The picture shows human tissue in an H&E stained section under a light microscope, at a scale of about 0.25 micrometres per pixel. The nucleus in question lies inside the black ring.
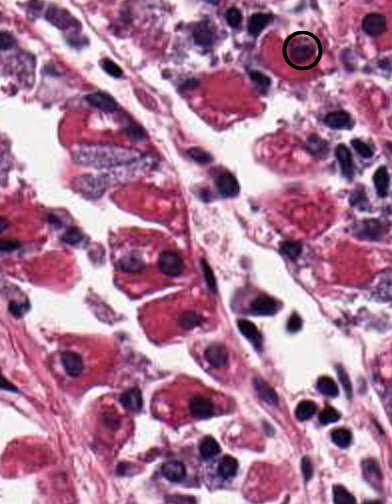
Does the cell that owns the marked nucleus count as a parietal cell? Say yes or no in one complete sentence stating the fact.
Yes, the marked nucleus belongs to a parietal cell in this field.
